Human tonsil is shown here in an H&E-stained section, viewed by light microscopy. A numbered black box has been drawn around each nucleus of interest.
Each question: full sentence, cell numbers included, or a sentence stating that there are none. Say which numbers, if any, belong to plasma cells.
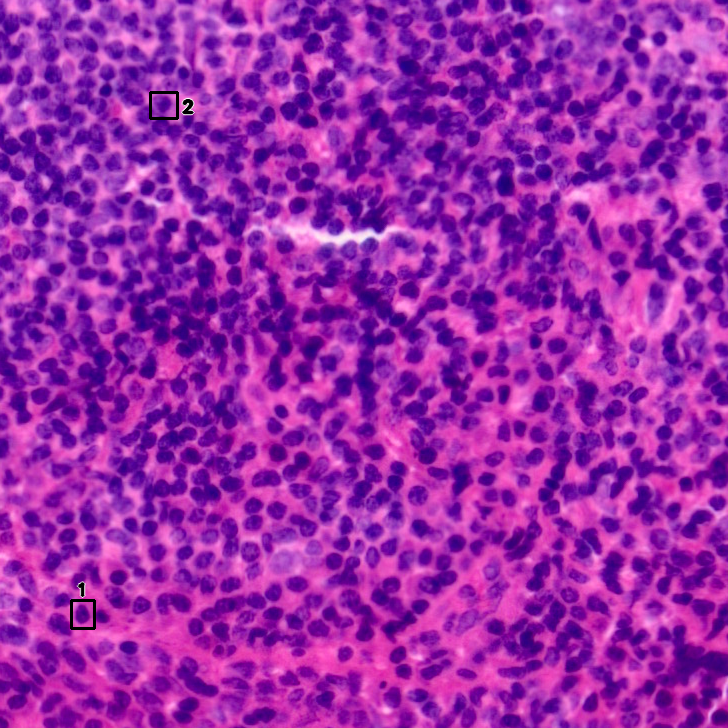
Exactly one of the numbered cells is a plasma cell, namely cell 1.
